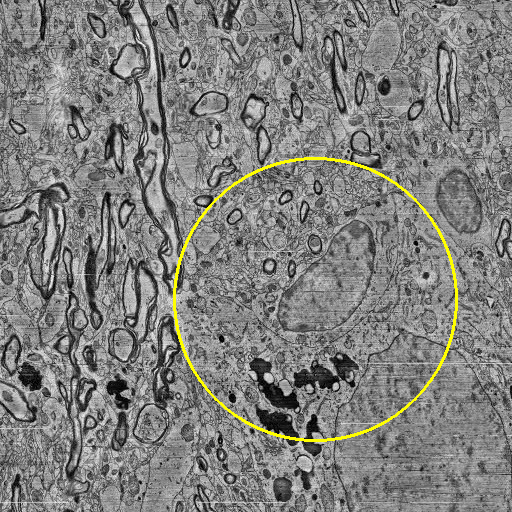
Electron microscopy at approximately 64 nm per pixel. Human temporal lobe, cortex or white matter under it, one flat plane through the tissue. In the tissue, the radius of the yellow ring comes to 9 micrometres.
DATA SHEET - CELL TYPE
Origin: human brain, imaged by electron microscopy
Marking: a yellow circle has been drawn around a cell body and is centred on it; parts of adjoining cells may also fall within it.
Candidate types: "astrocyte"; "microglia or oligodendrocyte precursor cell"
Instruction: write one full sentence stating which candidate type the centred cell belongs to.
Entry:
The cell body at the centre of the yellow ring in this micrograph belongs to a microglial cell or oligodendrocyte precursor cell.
